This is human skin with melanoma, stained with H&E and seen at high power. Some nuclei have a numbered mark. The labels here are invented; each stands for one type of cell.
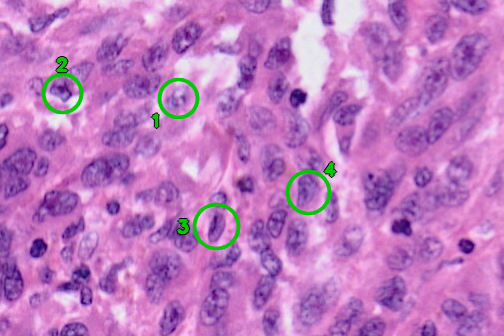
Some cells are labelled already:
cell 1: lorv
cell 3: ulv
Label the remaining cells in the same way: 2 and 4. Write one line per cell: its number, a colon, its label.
2: lorv
4: lorv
